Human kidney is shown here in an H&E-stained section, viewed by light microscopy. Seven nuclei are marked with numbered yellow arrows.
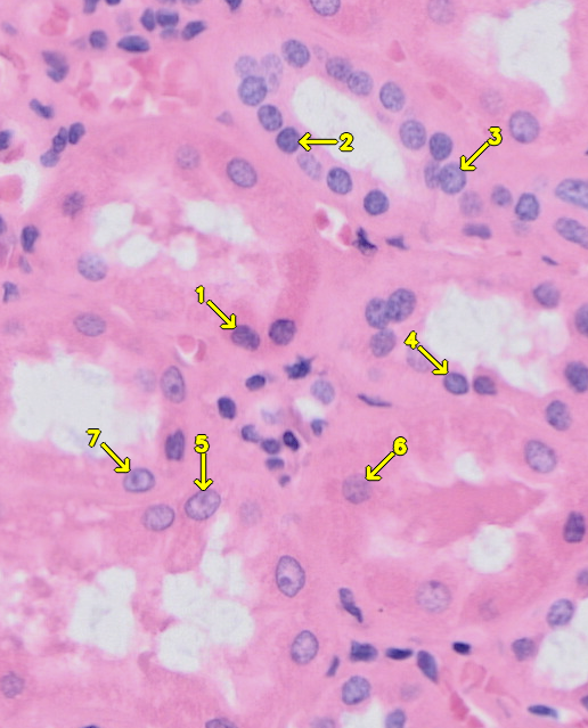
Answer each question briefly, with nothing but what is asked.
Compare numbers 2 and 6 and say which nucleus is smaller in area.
2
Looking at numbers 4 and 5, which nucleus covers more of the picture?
5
